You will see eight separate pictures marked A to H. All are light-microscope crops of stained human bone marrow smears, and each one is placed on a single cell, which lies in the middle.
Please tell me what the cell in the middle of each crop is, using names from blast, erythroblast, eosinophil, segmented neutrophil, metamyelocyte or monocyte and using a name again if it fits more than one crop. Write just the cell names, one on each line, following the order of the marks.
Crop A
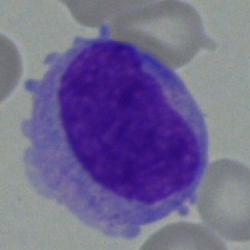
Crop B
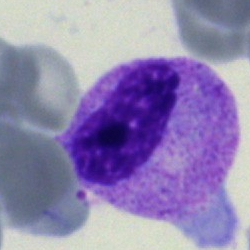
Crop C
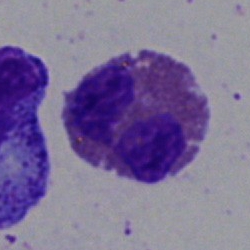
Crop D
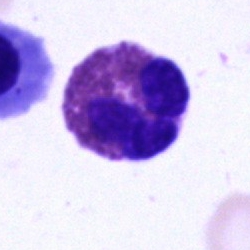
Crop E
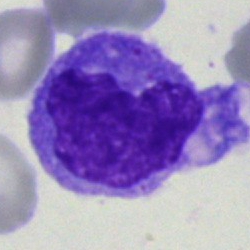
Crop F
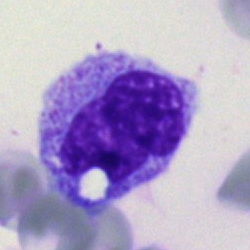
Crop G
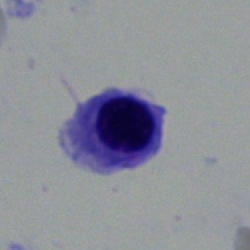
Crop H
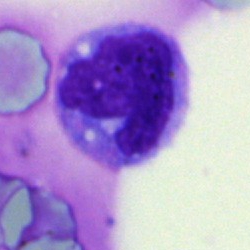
monocyte
metamyelocyte
eosinophil
eosinophil
monocyte
metamyelocyte
erythroblast
monocyte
